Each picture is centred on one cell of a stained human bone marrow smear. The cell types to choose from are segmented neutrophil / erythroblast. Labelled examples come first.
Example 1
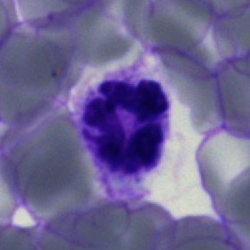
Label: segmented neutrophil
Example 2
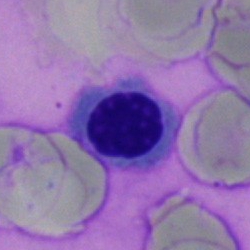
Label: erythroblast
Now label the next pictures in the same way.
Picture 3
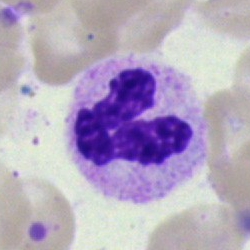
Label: segmented neutrophil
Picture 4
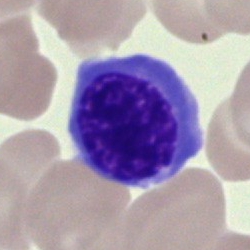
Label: erythroblast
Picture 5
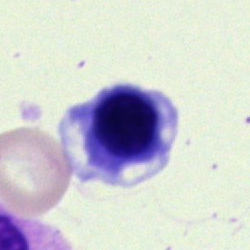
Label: erythroblast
